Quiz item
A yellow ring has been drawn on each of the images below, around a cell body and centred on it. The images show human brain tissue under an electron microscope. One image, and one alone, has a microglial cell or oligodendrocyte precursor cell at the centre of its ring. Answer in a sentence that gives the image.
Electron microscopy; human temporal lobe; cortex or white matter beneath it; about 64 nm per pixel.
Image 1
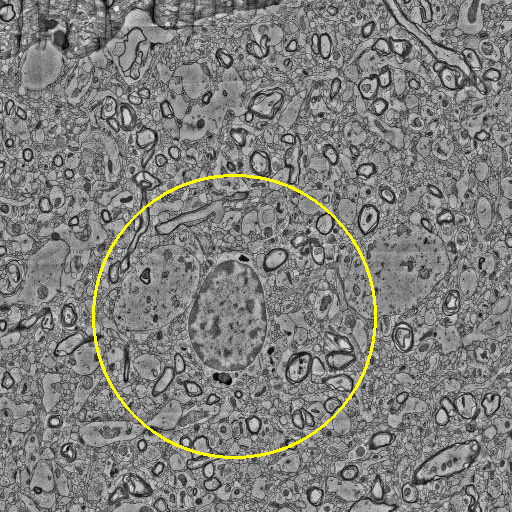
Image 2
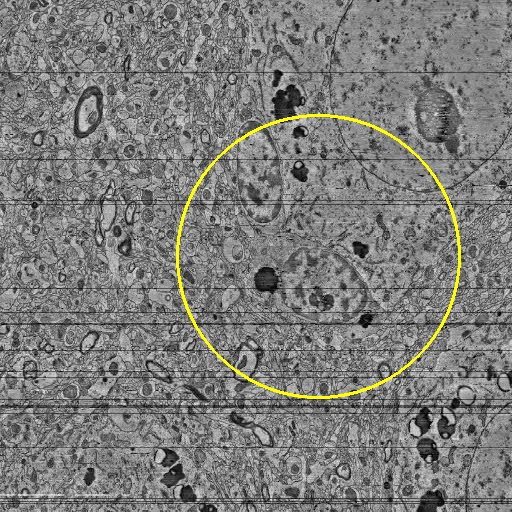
Image 1 shows it at the centre of the ring.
